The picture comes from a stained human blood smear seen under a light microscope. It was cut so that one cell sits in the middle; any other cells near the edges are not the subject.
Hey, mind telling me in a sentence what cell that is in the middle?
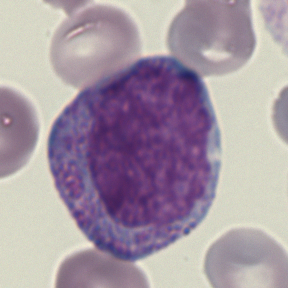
Regarding the central cell, it is a promyelocyte.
